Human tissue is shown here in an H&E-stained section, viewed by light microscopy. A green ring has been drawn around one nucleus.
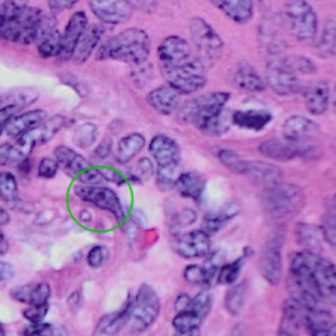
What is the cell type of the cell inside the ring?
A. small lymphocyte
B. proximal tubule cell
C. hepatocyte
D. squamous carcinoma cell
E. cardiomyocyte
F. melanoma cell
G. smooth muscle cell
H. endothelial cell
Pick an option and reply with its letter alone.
H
